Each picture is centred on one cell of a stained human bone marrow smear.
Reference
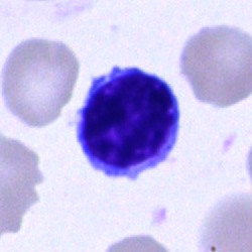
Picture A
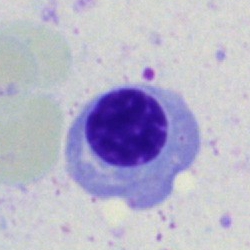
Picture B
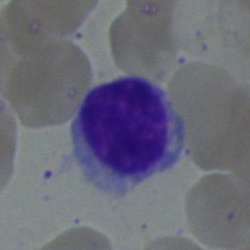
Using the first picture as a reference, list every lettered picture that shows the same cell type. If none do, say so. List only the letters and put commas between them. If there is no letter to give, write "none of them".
B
